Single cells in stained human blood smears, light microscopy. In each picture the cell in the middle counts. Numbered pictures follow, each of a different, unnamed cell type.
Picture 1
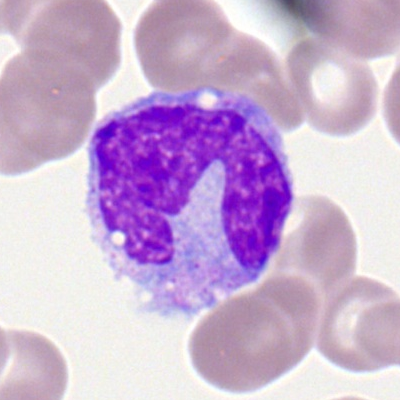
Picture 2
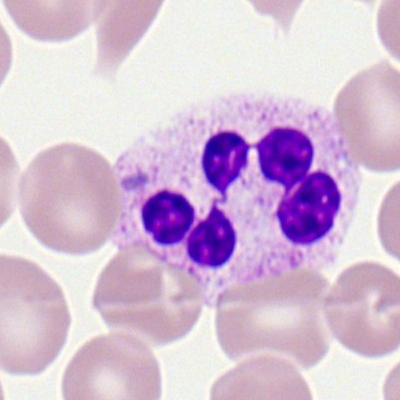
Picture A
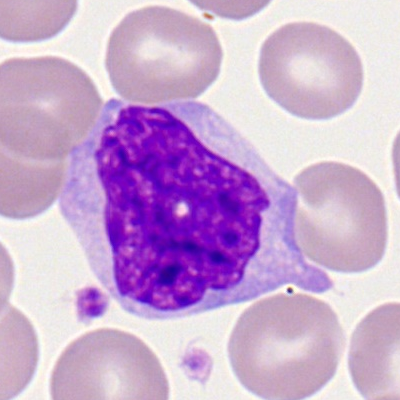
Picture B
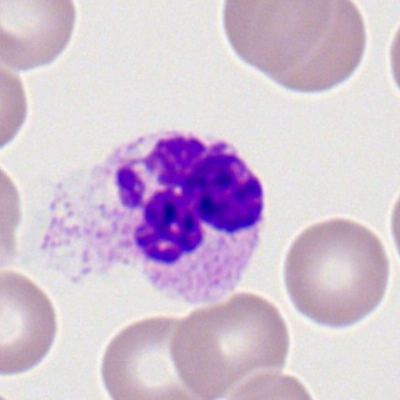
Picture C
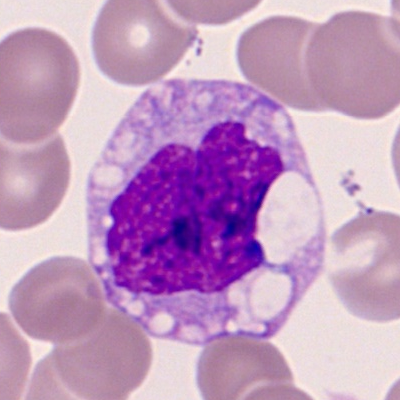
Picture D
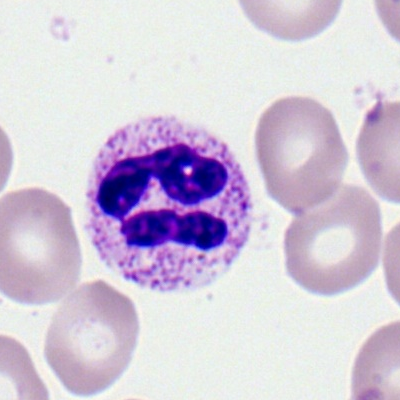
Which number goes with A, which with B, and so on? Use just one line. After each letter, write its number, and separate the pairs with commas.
A 1, B 2, C 1, D 2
